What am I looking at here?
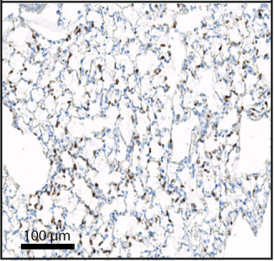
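The septa are thin and outline numerous small airspaces, with larger empty spaces at the left and right edges of the field. Pale blue nuclei mark the other cells of the septa, and the brown cells sit singly along the walls throughout the field.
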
